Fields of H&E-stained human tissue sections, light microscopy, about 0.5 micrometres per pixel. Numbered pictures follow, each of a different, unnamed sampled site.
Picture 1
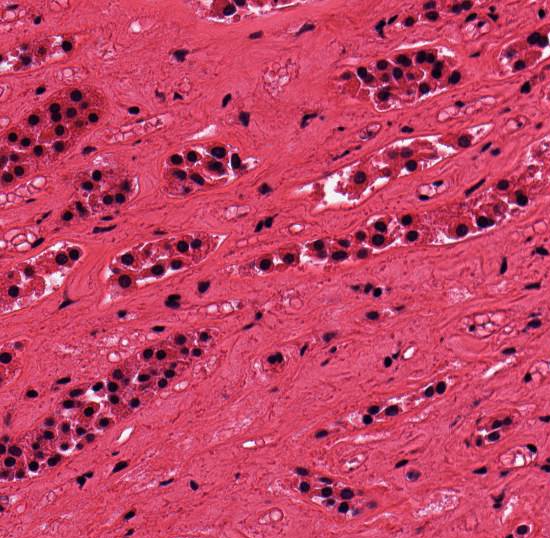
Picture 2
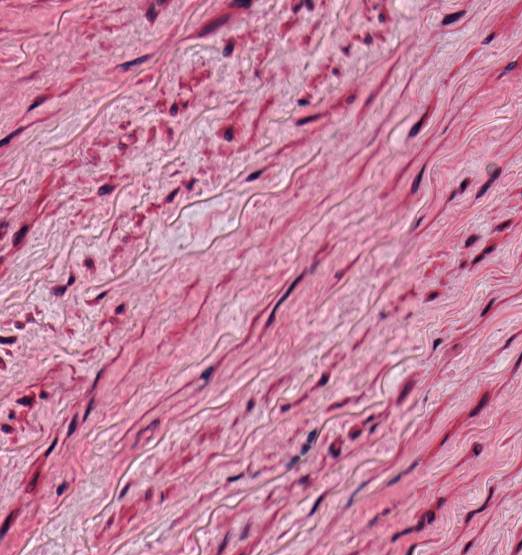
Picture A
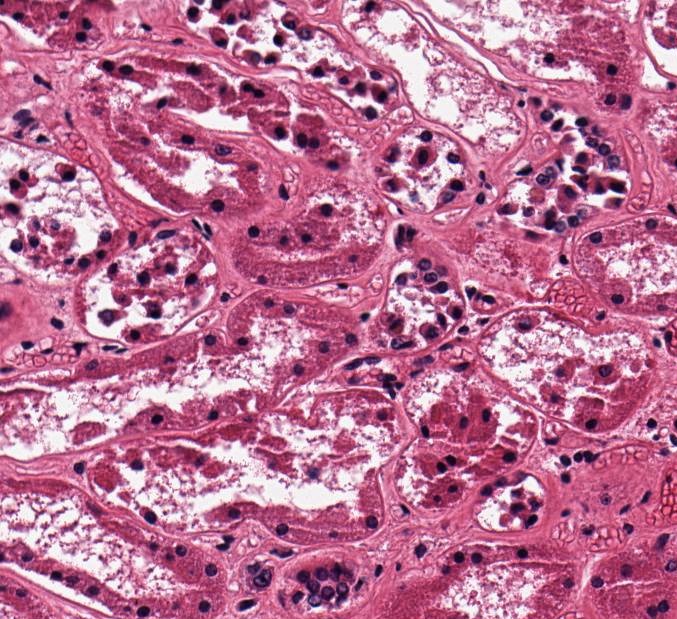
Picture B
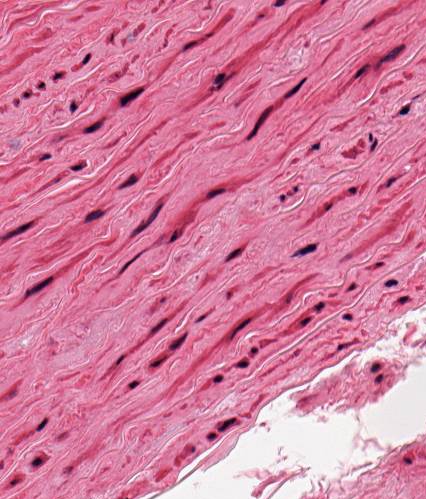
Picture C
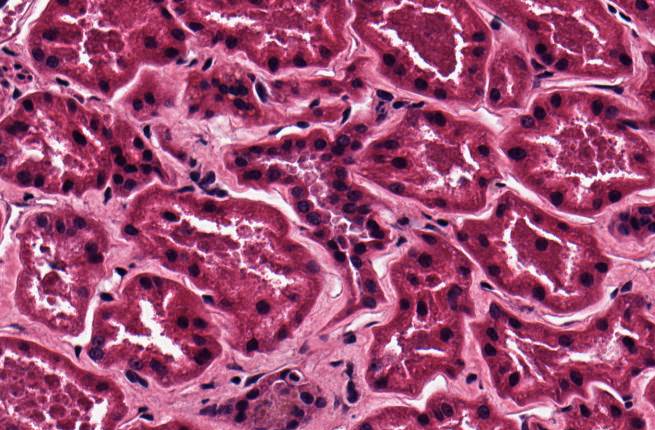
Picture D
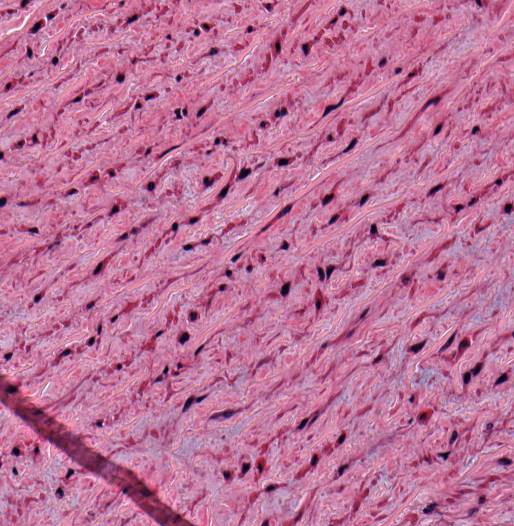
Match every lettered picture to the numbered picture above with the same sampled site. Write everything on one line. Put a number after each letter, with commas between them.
A 1, B 2, C 1, D 2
